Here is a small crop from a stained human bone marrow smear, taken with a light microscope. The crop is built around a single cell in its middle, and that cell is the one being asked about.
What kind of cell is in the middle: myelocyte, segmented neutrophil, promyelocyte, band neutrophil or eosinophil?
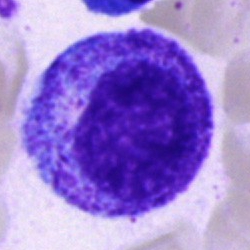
promyelocyte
